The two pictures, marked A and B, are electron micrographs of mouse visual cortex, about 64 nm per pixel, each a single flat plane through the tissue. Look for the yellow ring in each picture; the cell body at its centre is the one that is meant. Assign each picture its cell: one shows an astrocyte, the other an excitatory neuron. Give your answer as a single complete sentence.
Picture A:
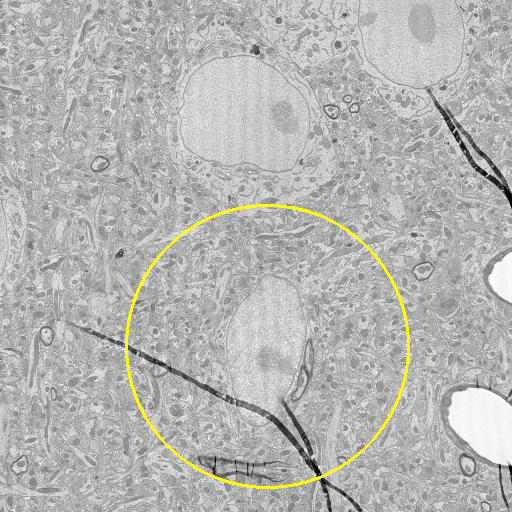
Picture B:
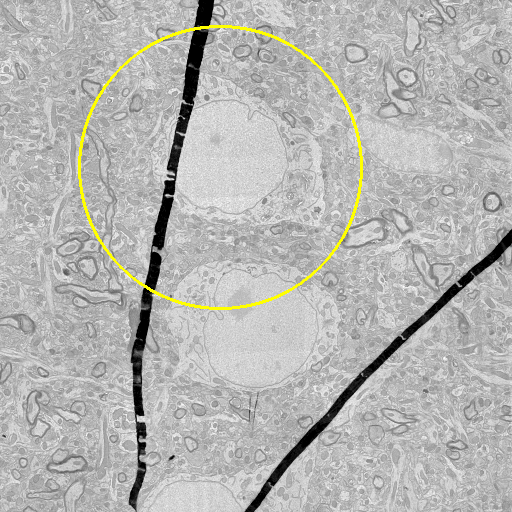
Picture A is of an astrocyte, and picture B is of an excitatory neuron.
